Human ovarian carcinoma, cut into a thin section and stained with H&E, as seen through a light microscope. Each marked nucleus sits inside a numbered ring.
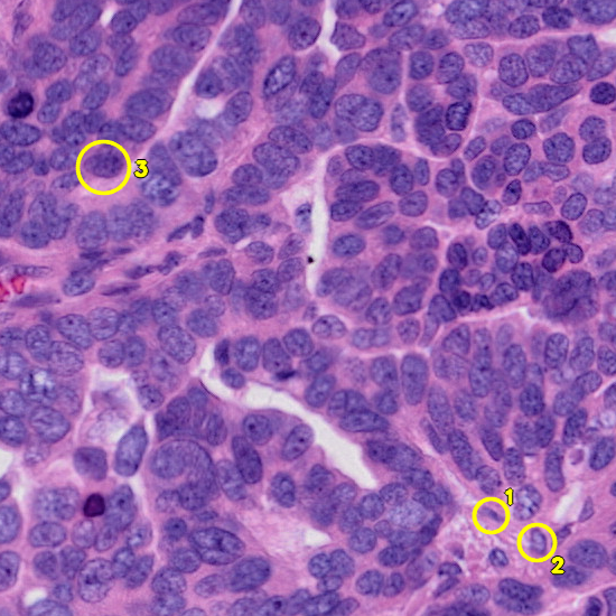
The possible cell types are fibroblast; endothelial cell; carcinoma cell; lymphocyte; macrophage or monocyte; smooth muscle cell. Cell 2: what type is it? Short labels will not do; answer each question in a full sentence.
The cell marked with the number 2 is a fibroblast.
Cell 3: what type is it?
The cell tagged with 3 in this tissue section is a carcinoma cell.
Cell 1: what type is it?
The cell pointed out as number 1 is a fibroblast.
